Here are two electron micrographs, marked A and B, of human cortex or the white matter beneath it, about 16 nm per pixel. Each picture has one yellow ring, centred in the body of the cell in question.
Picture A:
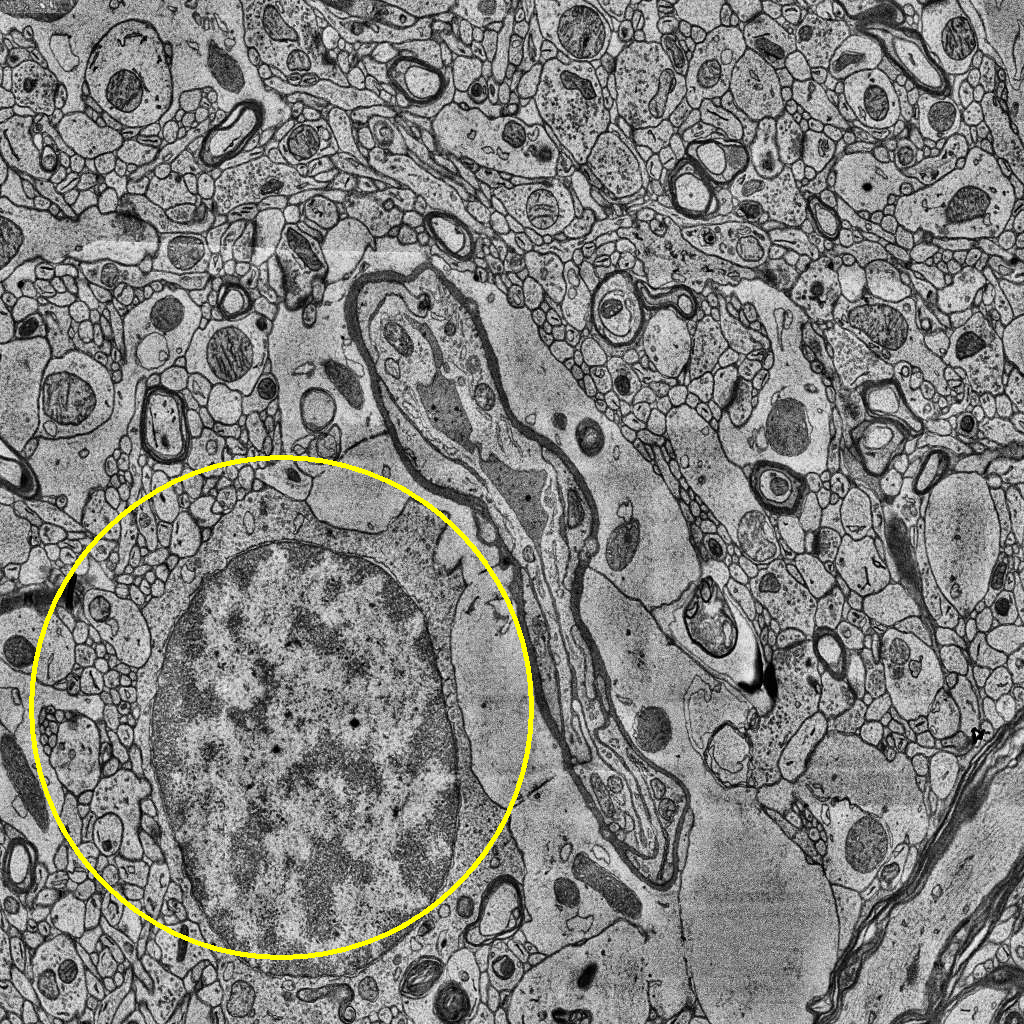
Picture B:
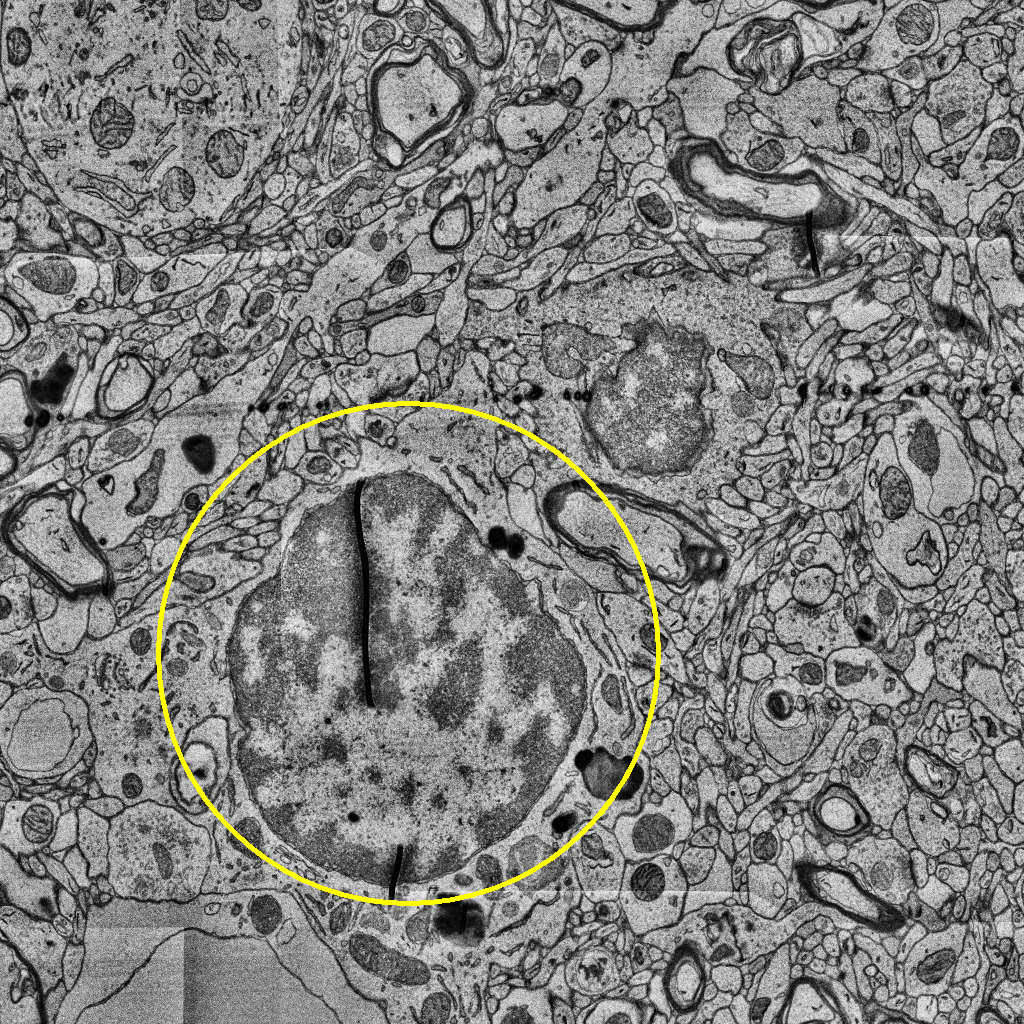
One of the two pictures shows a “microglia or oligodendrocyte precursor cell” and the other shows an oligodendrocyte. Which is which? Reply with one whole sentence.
The cell in picture A is an oligodendrocyte, and the one in picture B is a “microglia or oligodendrocyte precursor cell”.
